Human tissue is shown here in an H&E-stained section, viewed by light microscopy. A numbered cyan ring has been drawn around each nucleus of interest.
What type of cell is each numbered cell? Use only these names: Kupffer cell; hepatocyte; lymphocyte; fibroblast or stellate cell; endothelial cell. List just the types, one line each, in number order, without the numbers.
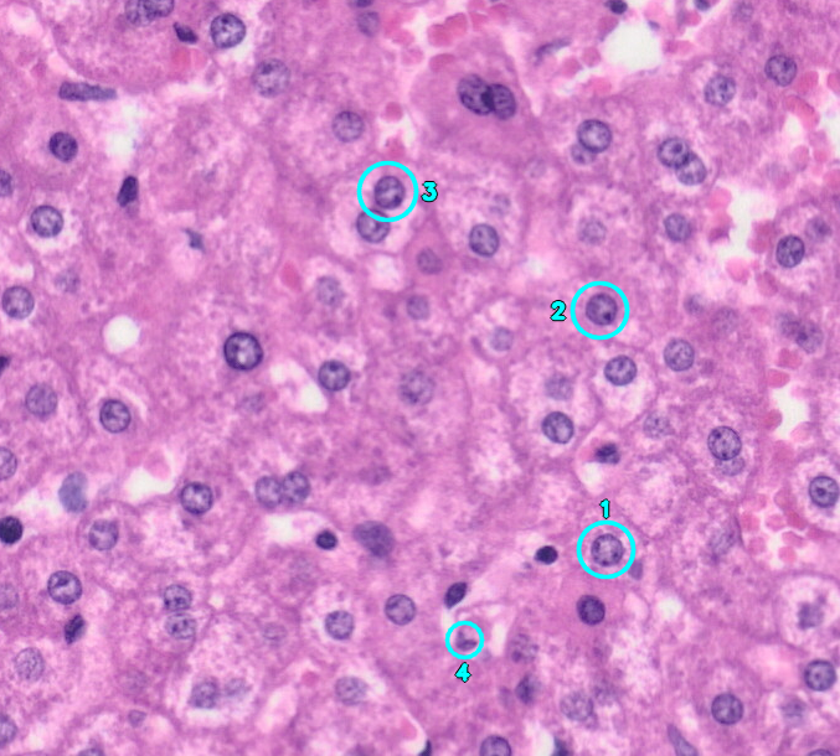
hepatocyte
hepatocyte
hepatocyte
Kupffer cell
